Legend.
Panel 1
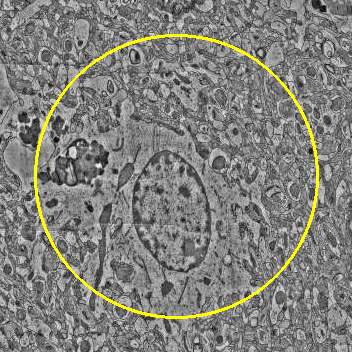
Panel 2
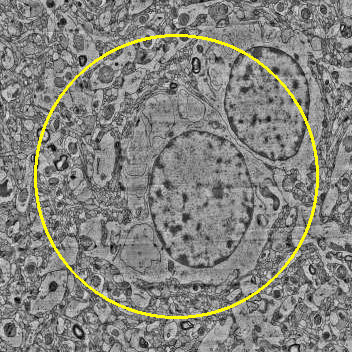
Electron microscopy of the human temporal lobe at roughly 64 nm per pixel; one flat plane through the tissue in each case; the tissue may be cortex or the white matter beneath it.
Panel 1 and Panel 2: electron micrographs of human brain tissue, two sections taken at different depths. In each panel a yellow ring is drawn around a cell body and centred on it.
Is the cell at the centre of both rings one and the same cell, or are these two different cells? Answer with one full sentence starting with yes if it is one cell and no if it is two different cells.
No, two distinct cells are each enclosed by a yellow ring.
